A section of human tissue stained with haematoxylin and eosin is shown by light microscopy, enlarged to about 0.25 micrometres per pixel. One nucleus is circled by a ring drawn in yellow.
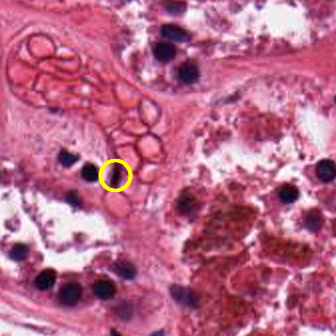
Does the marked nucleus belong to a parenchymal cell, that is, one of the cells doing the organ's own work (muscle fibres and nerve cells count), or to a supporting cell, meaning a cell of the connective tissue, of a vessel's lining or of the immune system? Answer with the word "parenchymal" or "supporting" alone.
supporting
